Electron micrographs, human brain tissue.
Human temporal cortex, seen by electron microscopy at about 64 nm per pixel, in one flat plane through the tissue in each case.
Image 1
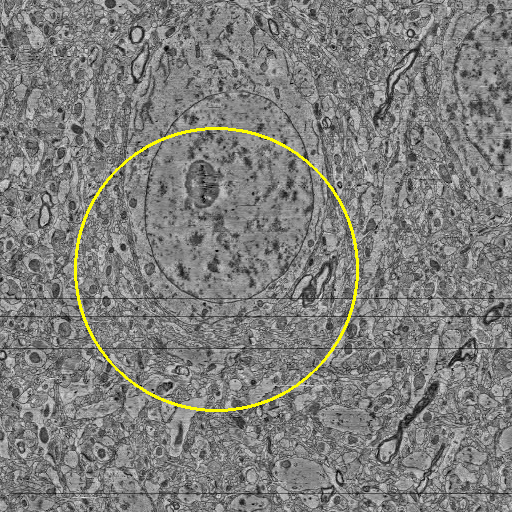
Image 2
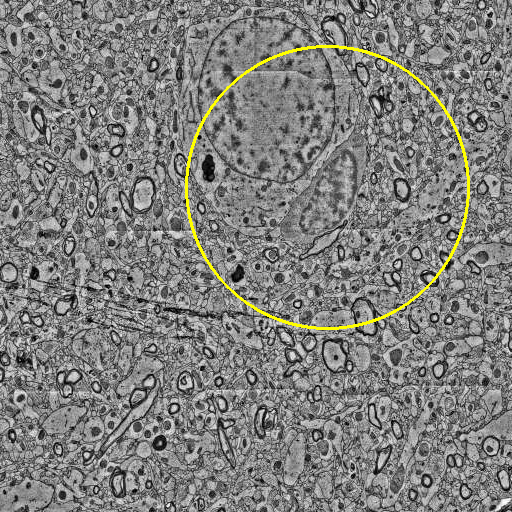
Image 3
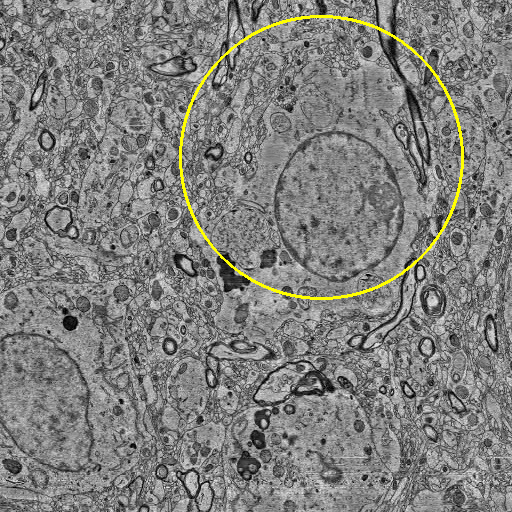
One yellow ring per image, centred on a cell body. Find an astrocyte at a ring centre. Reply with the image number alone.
3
